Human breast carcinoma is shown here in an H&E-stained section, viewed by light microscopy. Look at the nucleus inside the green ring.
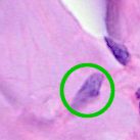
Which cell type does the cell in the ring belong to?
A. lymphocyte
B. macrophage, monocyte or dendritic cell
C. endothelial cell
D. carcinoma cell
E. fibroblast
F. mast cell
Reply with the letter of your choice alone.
E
